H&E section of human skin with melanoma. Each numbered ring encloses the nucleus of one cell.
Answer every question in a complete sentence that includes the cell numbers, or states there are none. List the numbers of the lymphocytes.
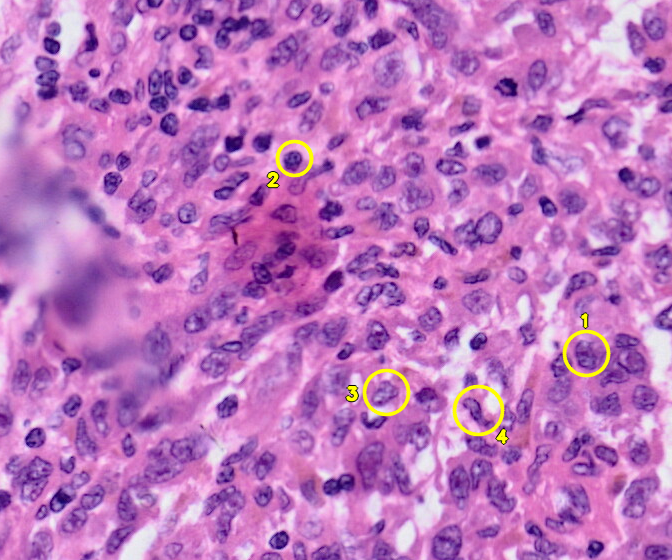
Cell 2 represents a lymphocyte, and no other numbered cell does.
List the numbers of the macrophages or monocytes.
Of the cells marked with numbers, cell 4 is the only one that is a macrophage or monocyte.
